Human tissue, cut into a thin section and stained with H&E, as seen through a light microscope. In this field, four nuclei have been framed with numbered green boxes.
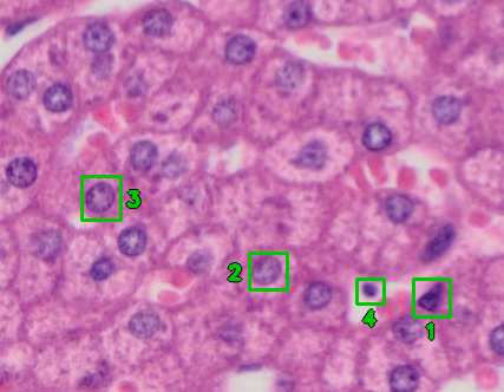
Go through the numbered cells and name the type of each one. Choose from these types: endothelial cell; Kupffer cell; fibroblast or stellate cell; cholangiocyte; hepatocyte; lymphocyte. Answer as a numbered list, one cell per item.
1. fibroblast or stellate cell
2. hepatocyte
3. hepatocyte
4. lymphocyte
